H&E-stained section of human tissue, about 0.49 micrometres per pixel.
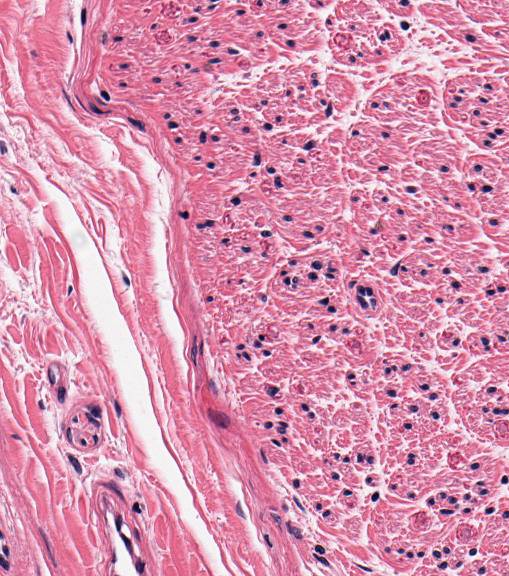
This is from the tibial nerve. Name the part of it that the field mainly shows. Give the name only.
nerve fascicle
